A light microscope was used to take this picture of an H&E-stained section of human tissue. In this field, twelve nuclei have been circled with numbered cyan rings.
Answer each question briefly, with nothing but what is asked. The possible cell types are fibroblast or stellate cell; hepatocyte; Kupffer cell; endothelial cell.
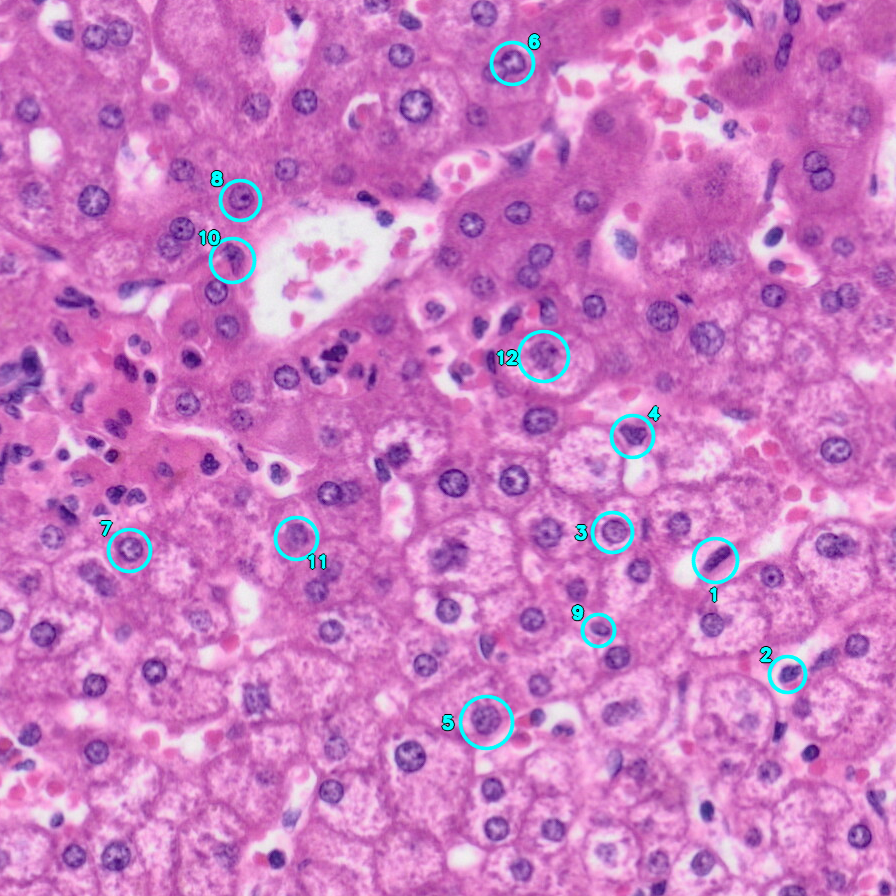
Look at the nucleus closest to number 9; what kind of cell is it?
hepatocyte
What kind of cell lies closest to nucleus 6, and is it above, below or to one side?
a hepatocyte below and to the left of nucleus 6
